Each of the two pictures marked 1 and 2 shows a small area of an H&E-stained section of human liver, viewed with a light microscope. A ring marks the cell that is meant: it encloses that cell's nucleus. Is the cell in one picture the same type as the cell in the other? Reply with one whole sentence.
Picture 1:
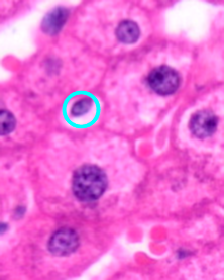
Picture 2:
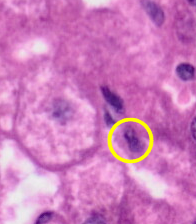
Yes, the two pictures both show Kupffer cells.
